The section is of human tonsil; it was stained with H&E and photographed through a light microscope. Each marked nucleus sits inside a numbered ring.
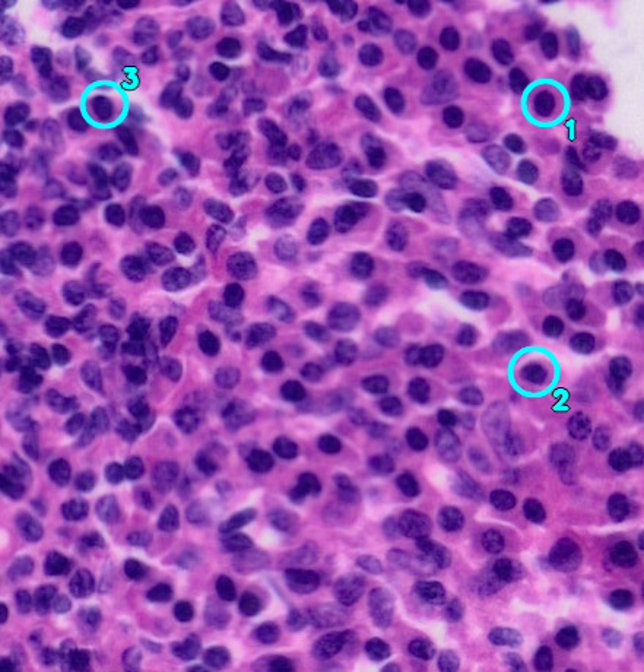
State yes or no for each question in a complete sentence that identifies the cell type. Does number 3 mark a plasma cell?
No, cell 3 is not a plasma cell; it is a small lymphocyte.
